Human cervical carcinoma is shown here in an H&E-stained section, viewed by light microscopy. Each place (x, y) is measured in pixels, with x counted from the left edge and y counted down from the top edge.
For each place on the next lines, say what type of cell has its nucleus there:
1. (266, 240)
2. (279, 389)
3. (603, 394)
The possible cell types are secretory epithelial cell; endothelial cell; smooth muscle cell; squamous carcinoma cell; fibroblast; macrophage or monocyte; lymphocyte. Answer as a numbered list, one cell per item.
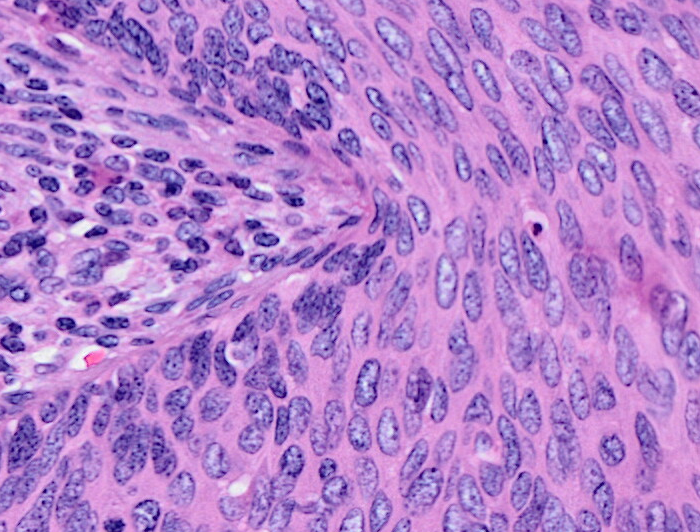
1. lymphocyte
2. squamous carcinoma cell
3. squamous carcinoma cell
